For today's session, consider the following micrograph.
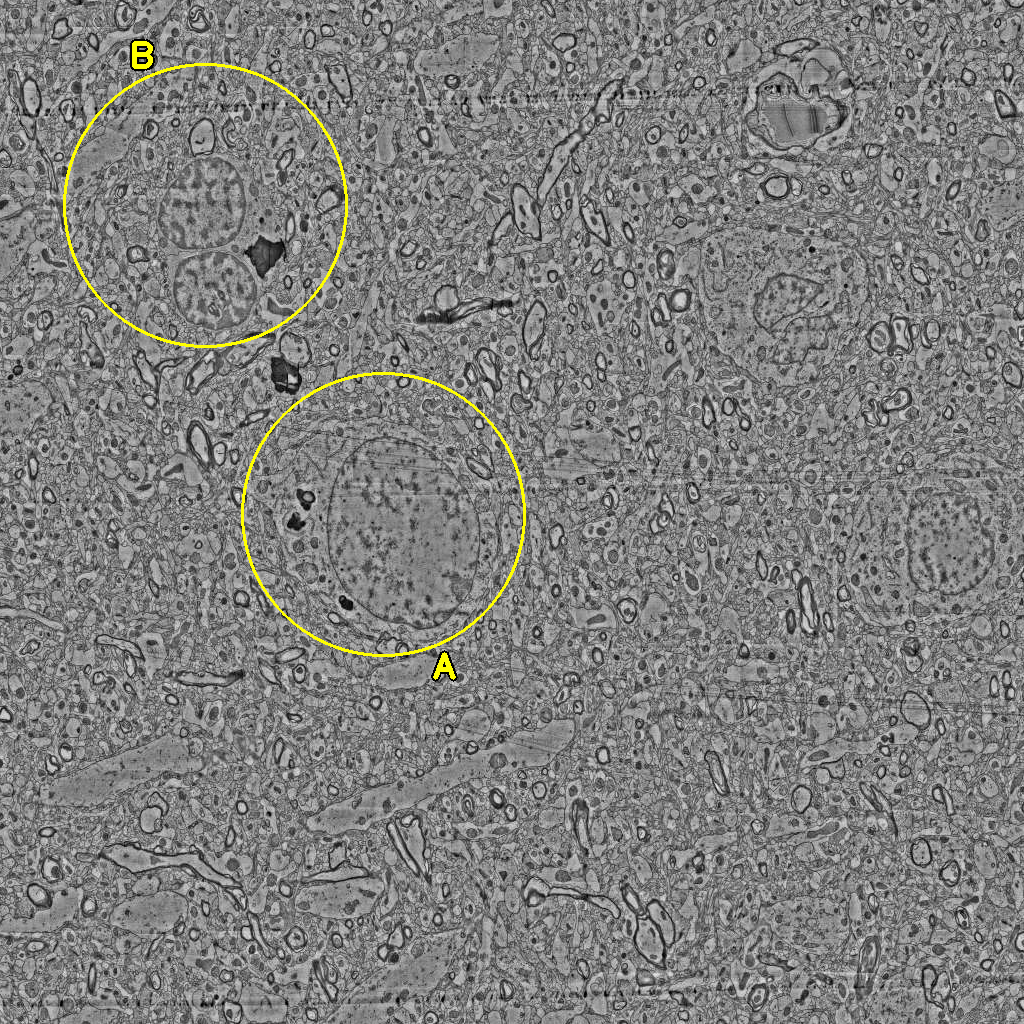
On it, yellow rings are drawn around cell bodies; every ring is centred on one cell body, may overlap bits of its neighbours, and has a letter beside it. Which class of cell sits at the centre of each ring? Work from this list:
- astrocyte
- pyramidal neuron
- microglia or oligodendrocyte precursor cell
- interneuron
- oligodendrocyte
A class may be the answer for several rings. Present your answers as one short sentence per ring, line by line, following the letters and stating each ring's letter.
Ring A centres on a pyramidal neuron.
Ring B centres on an oligodendrocyte.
